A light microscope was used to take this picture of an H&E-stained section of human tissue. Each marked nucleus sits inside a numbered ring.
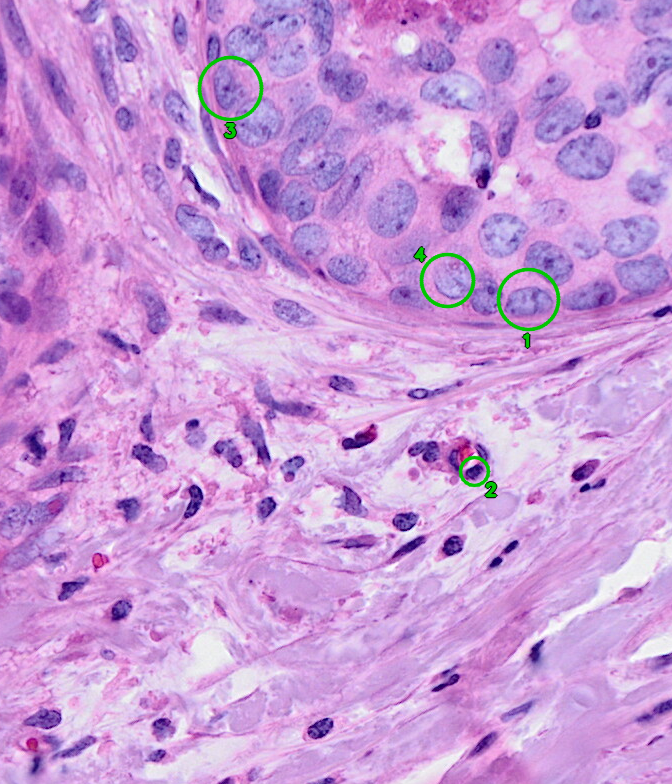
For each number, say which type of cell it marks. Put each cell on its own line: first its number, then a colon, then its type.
1: carcinoma cell
2: endothelial cell
3: carcinoma cell
4: carcinoma cell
